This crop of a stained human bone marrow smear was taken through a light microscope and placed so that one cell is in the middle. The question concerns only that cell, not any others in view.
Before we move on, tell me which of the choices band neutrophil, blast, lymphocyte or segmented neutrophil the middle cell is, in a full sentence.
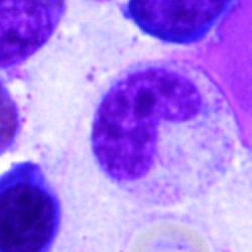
Within this crop, a band neutrophil occupies the central position.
